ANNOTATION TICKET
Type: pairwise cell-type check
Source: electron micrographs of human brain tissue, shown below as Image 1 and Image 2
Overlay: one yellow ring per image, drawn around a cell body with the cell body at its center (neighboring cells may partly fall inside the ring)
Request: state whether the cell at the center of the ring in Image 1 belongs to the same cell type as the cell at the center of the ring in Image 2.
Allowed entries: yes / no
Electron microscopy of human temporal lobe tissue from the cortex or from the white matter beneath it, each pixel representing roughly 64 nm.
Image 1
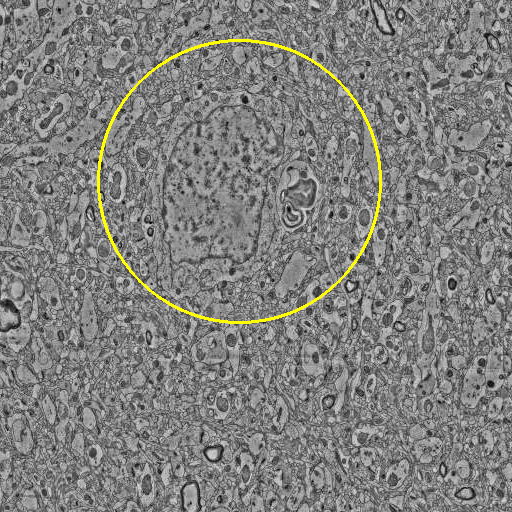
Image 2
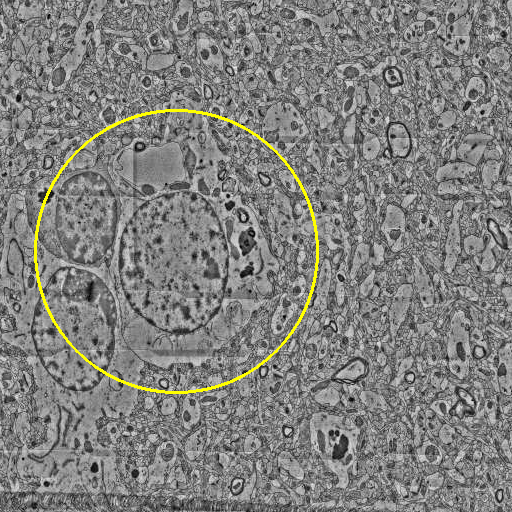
no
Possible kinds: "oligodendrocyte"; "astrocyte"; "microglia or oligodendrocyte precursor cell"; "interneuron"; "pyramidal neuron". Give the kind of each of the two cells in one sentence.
The cell in the second picture is an astrocyte, and that in the first is an interneuron.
